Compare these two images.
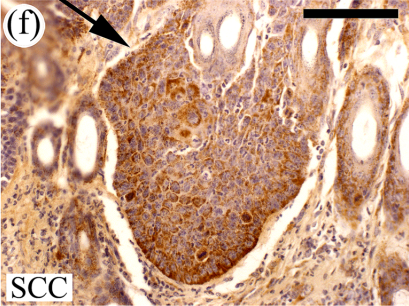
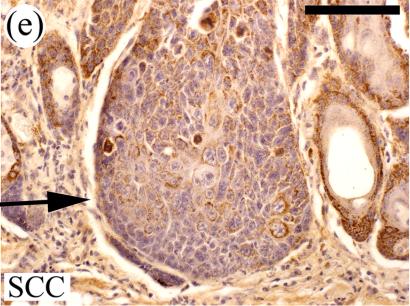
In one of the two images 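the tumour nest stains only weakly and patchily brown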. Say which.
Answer: The second image.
